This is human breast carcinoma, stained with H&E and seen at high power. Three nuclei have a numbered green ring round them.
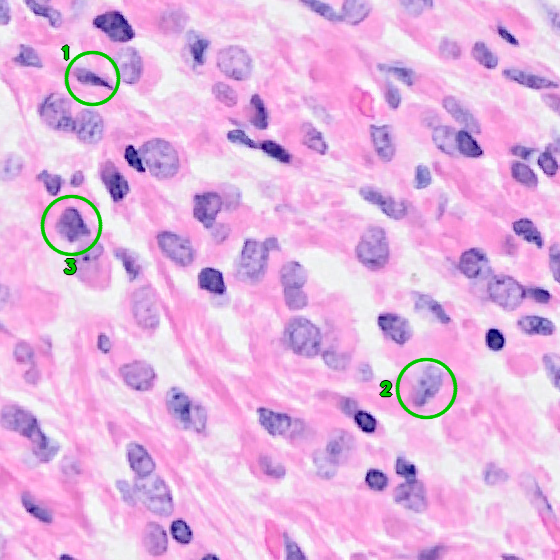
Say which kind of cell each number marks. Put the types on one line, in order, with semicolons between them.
fibroblast; fibroblast; carcinoma cell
